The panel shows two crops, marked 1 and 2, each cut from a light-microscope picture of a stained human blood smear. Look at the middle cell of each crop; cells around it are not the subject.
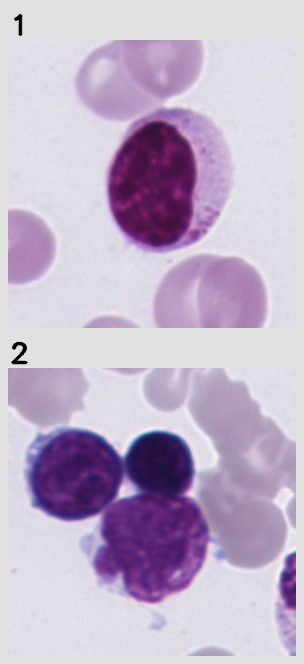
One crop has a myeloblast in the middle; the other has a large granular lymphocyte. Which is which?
1: large granular lymphocyte
2: myeloblast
